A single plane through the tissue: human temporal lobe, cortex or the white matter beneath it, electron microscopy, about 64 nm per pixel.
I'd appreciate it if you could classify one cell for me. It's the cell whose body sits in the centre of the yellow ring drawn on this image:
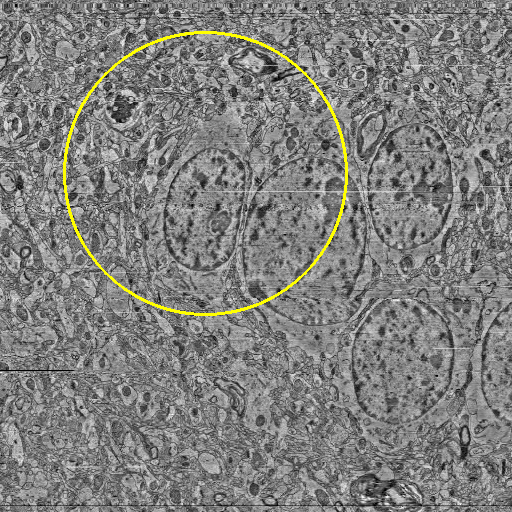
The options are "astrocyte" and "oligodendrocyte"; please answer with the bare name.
astrocyte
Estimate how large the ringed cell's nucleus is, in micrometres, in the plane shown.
In this plane the nucleus measures about 8 by 5 micrometres and is clearly longer than it is wide.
